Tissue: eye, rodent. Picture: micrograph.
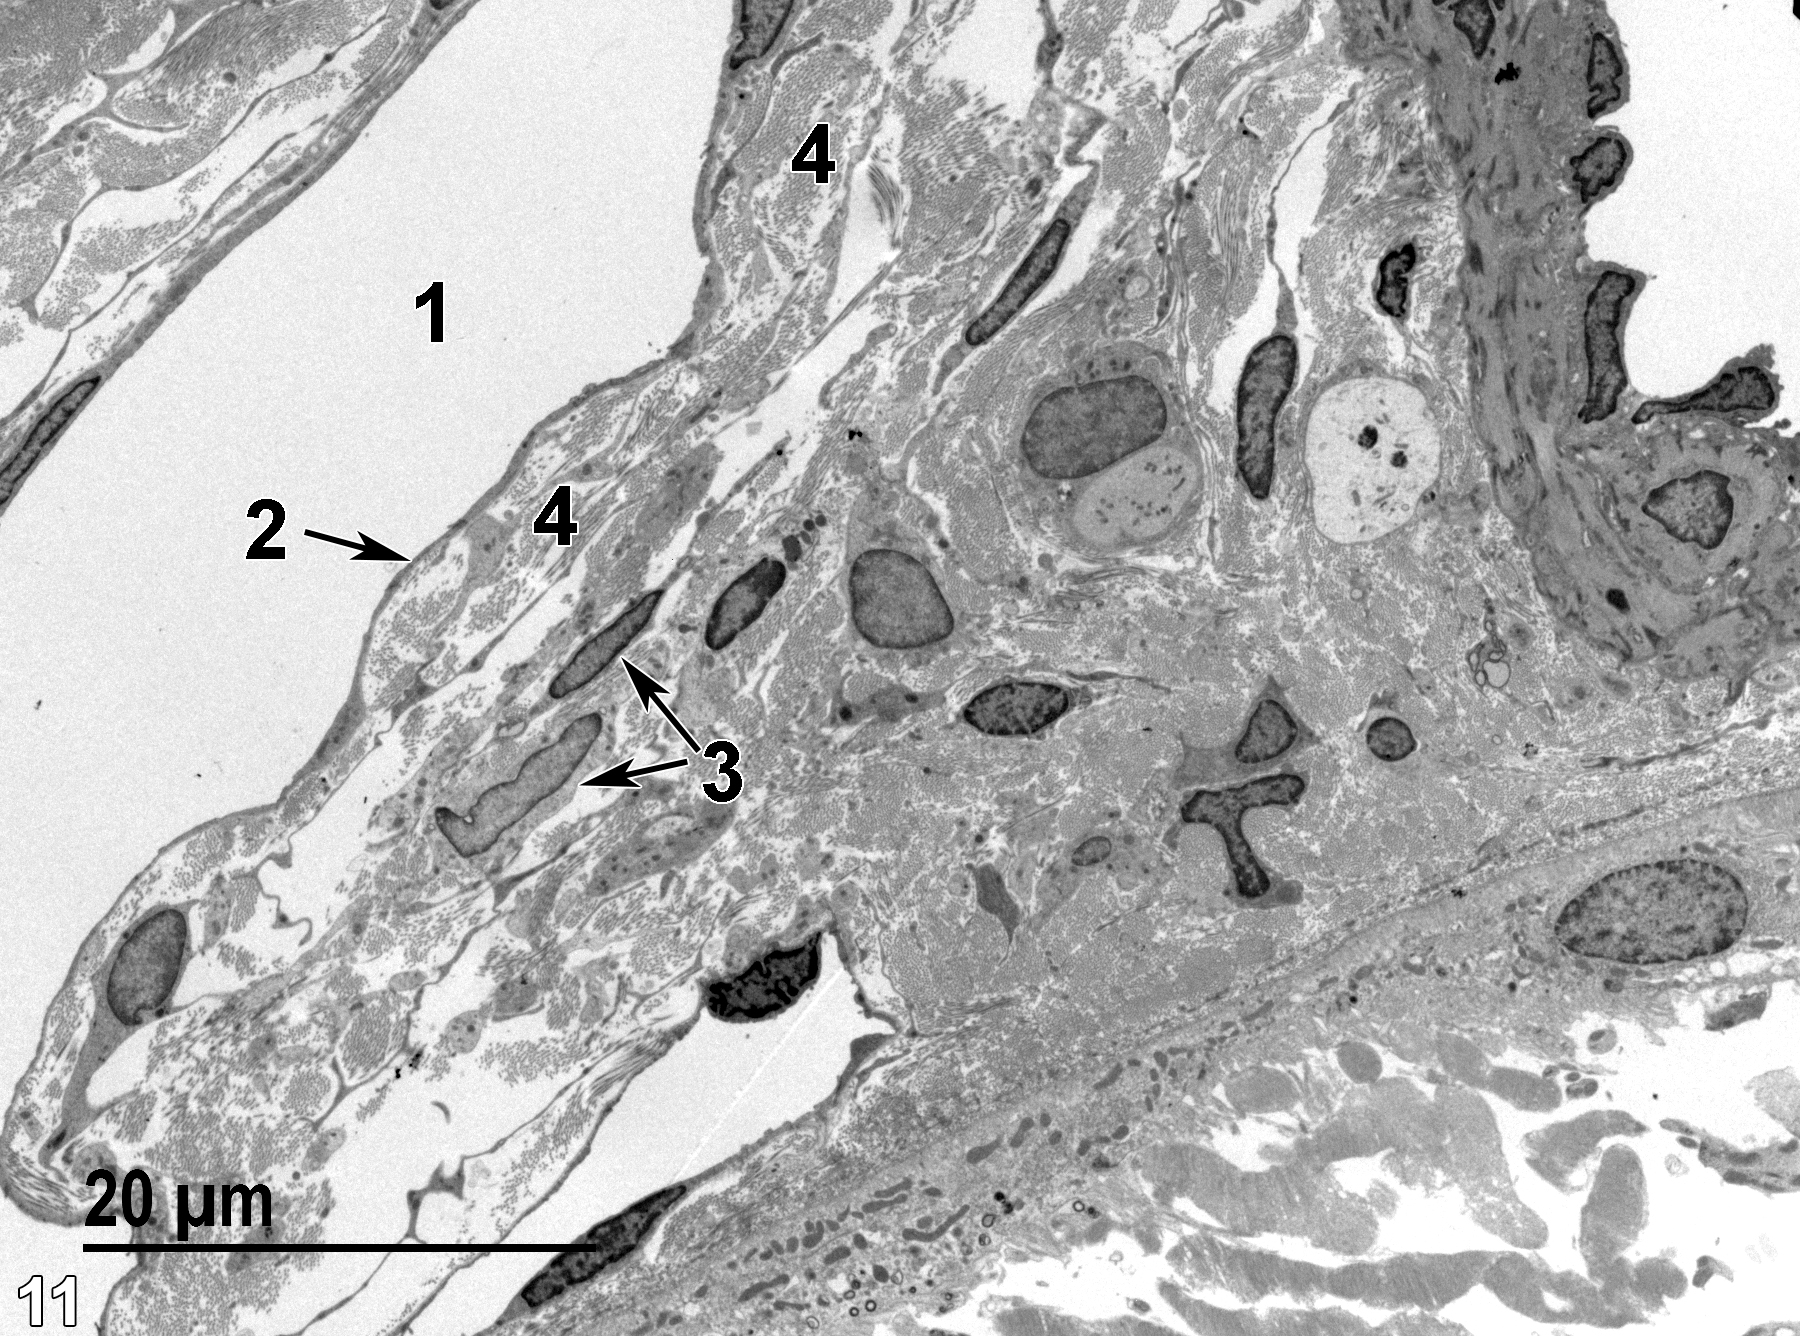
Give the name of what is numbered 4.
Collagen fibrils.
